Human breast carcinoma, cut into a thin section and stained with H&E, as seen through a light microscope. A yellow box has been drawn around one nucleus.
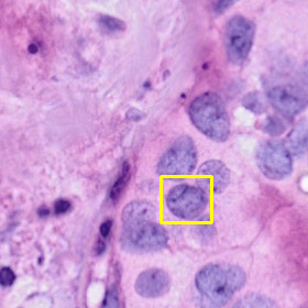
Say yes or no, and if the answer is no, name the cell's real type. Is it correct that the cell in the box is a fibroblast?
No, it is a carcinoma cell.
